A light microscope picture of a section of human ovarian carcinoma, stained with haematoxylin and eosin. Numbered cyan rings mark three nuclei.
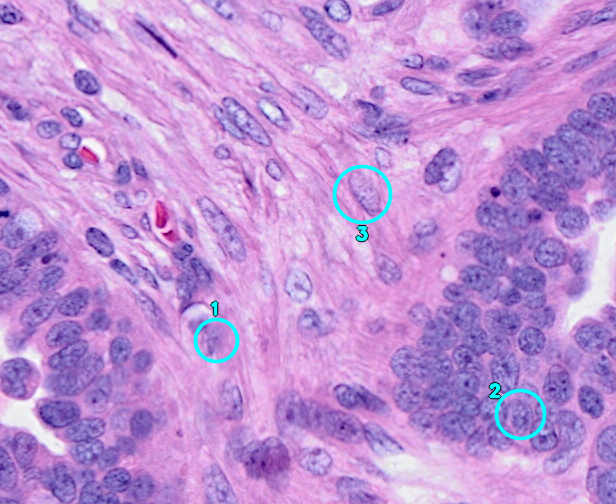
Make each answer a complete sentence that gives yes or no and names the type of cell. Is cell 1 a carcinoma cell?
No, number 1 points to a fibroblast and not to a carcinoma cell.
